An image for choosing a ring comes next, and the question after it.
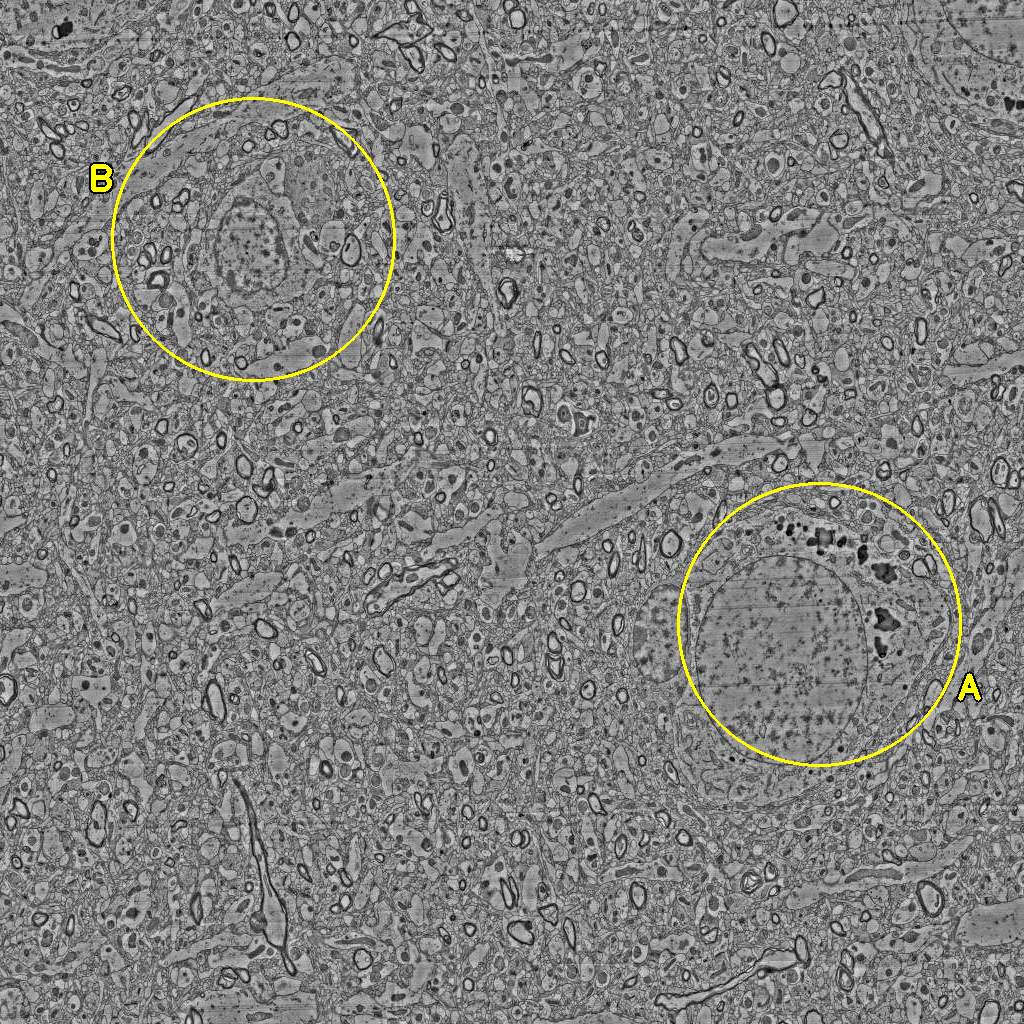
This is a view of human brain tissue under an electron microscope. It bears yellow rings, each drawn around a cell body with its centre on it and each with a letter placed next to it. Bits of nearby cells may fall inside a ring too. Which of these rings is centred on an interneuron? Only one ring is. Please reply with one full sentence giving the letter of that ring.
Of all the lettered rings, B is the one centred on a cell of that kind.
